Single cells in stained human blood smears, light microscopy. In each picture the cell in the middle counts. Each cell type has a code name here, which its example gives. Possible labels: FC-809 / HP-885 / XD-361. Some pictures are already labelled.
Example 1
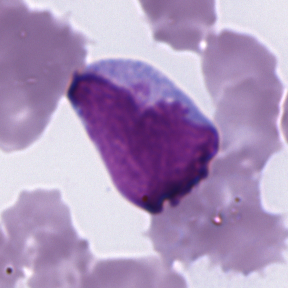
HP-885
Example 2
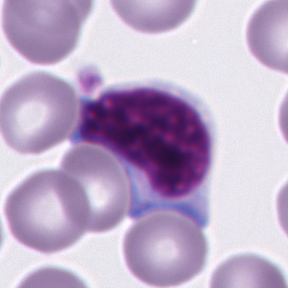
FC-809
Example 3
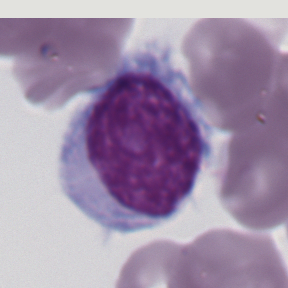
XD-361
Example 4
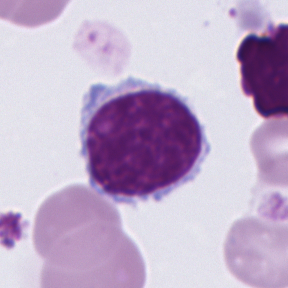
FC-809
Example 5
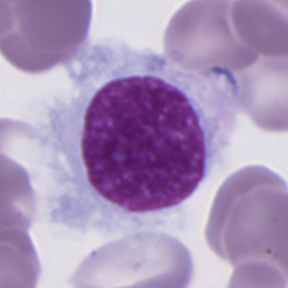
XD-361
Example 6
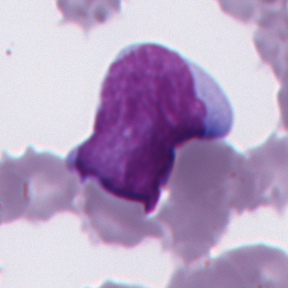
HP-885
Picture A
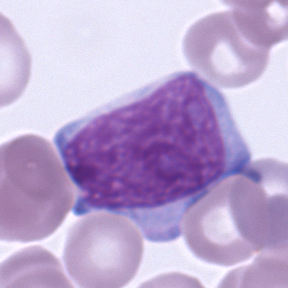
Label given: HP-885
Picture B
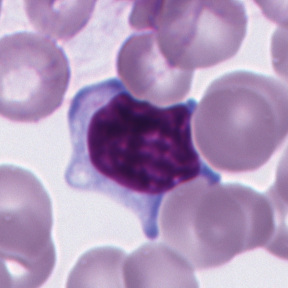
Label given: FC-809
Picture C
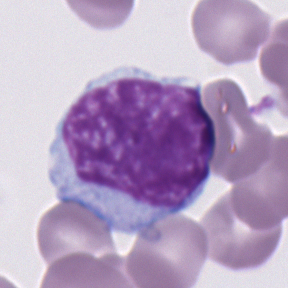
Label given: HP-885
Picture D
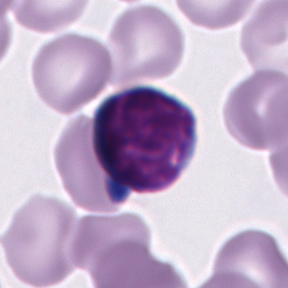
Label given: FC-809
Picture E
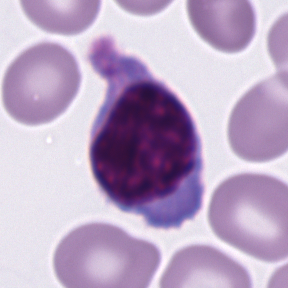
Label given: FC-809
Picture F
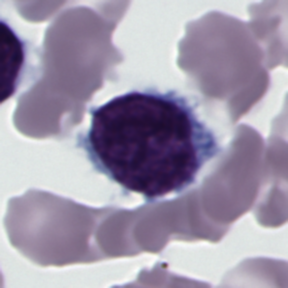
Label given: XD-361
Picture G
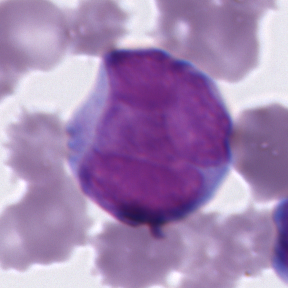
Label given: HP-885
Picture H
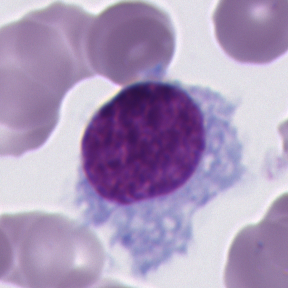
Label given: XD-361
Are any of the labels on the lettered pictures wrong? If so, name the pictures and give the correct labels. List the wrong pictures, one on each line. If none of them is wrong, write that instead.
Every label is right.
